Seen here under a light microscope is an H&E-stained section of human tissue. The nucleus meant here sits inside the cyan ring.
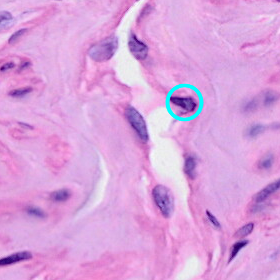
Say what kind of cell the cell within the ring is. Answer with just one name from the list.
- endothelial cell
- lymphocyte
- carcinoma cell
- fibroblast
endothelial cell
